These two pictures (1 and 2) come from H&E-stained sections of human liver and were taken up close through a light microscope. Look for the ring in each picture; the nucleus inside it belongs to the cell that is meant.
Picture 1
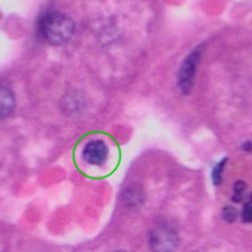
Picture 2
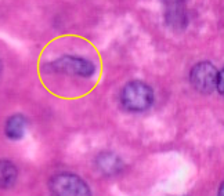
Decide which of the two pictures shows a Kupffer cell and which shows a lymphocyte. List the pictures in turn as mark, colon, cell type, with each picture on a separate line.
1: lymphocyte
2: Kupffer cell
